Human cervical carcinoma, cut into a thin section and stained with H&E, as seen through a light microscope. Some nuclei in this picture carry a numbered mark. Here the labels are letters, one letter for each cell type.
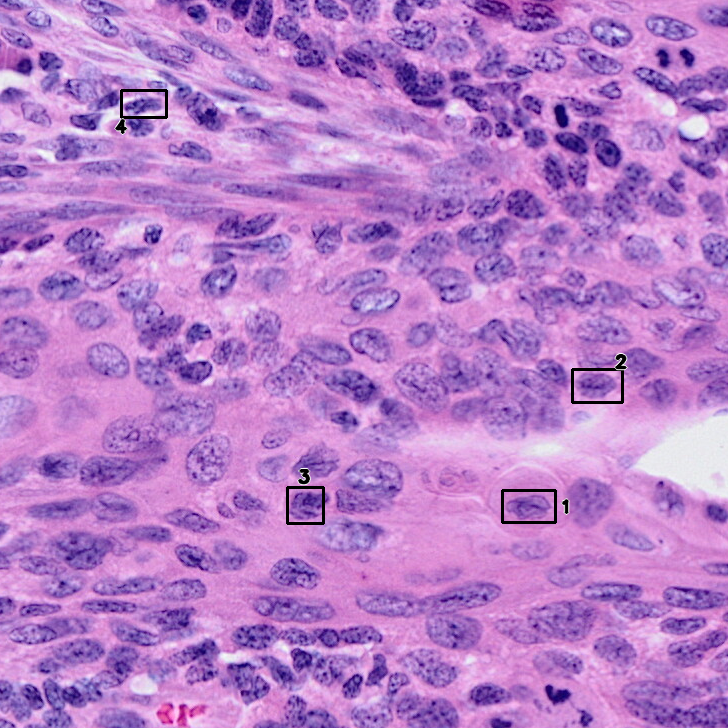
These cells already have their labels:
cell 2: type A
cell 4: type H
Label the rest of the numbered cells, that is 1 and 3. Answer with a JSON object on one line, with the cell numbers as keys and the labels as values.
{"1": "type A", "3": "type A"}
